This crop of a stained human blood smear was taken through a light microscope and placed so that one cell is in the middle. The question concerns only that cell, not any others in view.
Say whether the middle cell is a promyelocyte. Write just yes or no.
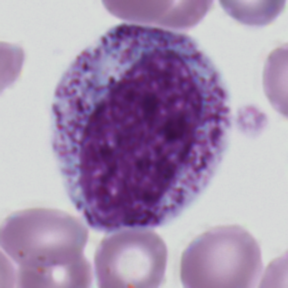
yes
